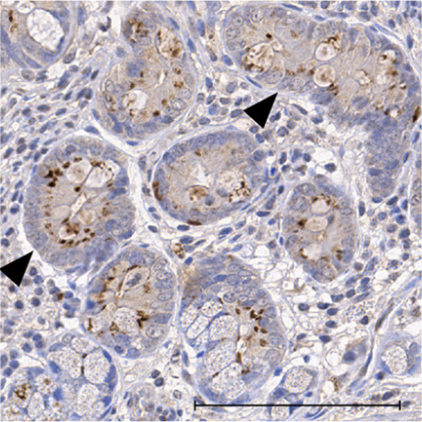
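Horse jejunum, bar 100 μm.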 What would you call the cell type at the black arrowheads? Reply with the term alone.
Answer: Crypt enterocytes.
